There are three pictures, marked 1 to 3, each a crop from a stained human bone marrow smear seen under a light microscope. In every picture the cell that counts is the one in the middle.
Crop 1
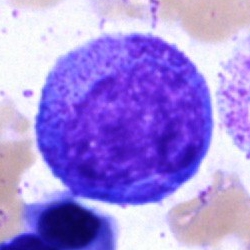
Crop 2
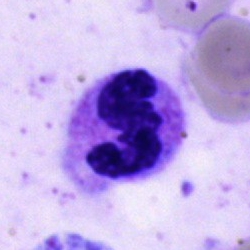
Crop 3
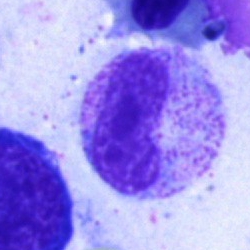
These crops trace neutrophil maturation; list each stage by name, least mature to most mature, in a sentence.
From youngest to most mature, the cells go crop 1 (a promyelocyte), crop 3 (a band neutrophil) and crop 2 (a segmented neutrophil).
